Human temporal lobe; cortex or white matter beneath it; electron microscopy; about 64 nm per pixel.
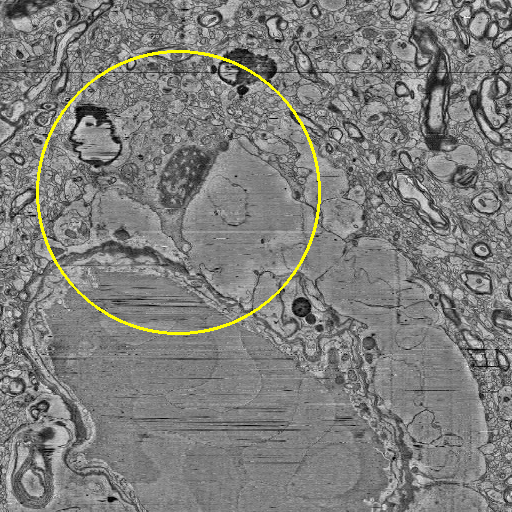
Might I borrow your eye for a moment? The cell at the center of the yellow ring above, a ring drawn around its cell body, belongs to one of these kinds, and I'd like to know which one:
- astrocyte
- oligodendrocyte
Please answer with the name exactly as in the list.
oligodendrocyte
